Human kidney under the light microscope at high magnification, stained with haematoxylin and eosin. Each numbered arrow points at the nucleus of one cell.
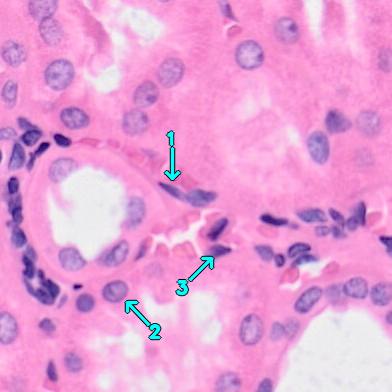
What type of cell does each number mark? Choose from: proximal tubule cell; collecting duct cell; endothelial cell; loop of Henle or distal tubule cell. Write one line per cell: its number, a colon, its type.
1: endothelial cell
2: proximal tubule cell
3: endothelial cell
